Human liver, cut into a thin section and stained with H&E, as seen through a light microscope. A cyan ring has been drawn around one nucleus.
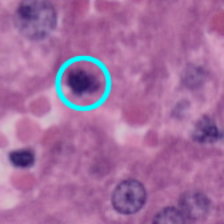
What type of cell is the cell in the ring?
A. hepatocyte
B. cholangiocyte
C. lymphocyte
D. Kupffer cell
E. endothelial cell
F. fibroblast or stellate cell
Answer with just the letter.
F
